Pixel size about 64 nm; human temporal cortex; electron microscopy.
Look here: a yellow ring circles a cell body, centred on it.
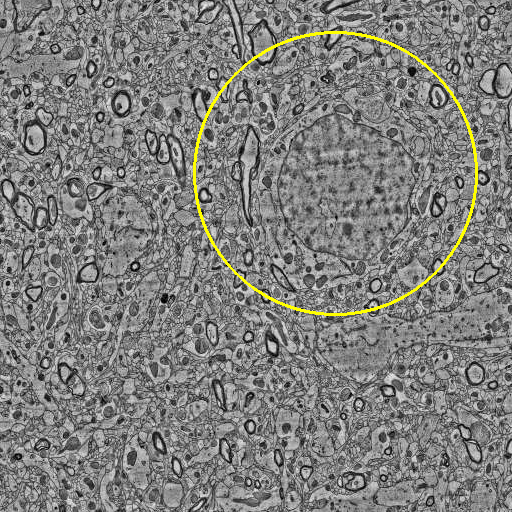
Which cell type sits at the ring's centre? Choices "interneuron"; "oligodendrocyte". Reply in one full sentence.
The cell at the centre of the yellow ring in the picture is an interneuron.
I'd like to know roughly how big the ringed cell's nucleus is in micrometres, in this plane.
The nucleus of the ringed cell is approximately 10 micrometres across in this plane.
